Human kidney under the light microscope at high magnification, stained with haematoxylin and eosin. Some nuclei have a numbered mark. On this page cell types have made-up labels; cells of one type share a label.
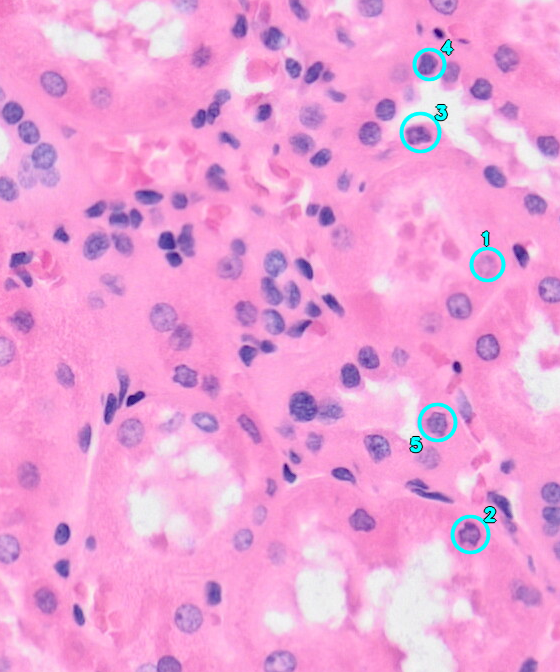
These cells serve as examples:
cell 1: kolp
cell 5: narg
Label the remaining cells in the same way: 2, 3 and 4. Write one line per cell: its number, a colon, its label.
2: kolp
3: narg
4: narg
